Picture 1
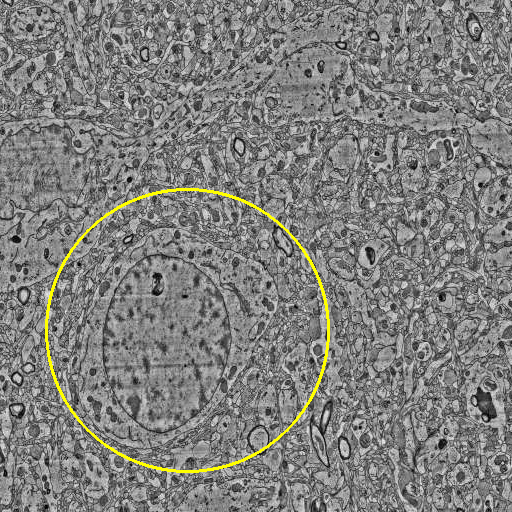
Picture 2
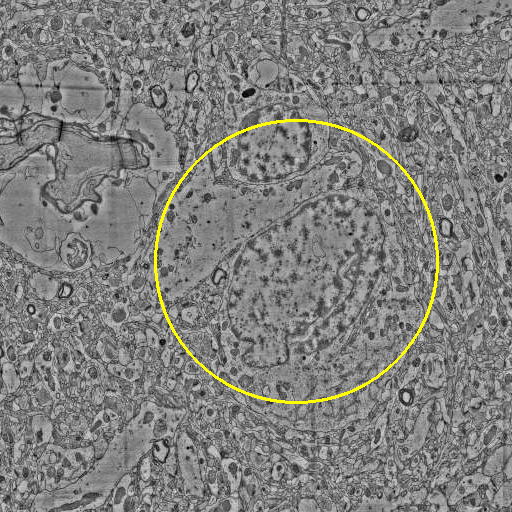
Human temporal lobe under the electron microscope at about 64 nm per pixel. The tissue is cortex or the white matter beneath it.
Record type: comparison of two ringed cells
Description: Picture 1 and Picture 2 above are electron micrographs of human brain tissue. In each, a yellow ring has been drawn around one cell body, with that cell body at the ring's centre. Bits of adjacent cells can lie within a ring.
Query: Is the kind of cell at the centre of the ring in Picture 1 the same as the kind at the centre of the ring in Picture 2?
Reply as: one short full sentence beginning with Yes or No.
No, the two ringed cells are of two separate kinds.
